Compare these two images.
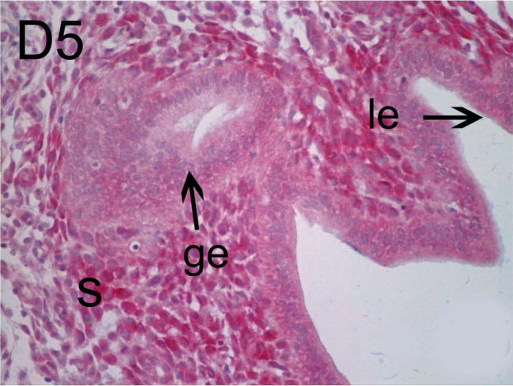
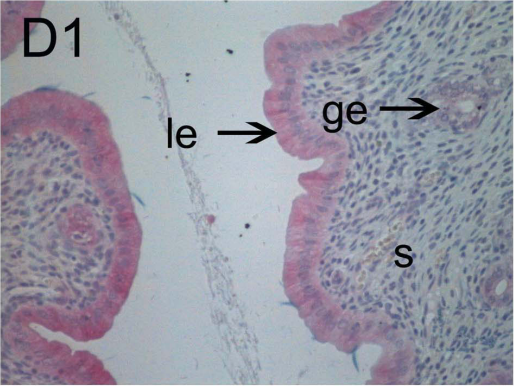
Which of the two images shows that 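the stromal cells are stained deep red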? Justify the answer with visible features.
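Second image: the stromal cells have bluish nuclei with little red colour; red is mostly in the lining epithelium. First image: many stromal cells around the gland and under the epithelium are intensely red. That points to this answer: the first image.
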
